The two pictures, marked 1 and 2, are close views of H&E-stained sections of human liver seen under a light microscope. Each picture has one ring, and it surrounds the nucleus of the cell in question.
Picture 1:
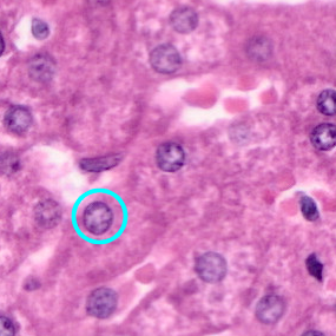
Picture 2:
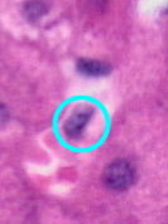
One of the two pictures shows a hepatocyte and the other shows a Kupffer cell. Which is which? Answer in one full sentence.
The cell in picture 1 is a hepatocyte, and the one in picture 2 is a Kupffer cell.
